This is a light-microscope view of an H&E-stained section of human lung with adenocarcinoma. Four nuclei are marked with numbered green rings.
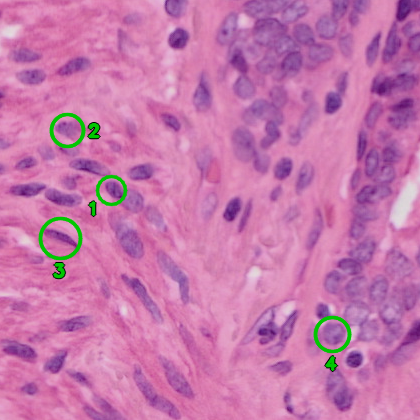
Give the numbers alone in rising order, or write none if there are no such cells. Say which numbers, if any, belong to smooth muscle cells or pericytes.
1, 2, 3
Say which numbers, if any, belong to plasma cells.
none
